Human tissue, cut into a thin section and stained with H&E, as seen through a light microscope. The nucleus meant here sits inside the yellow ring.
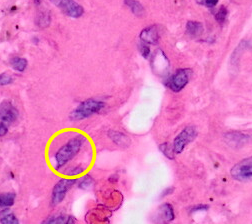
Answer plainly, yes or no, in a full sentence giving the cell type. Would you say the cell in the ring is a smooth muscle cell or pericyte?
Yes, in this field of view, the cell in the ring is a smooth muscle cell or pericyte.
